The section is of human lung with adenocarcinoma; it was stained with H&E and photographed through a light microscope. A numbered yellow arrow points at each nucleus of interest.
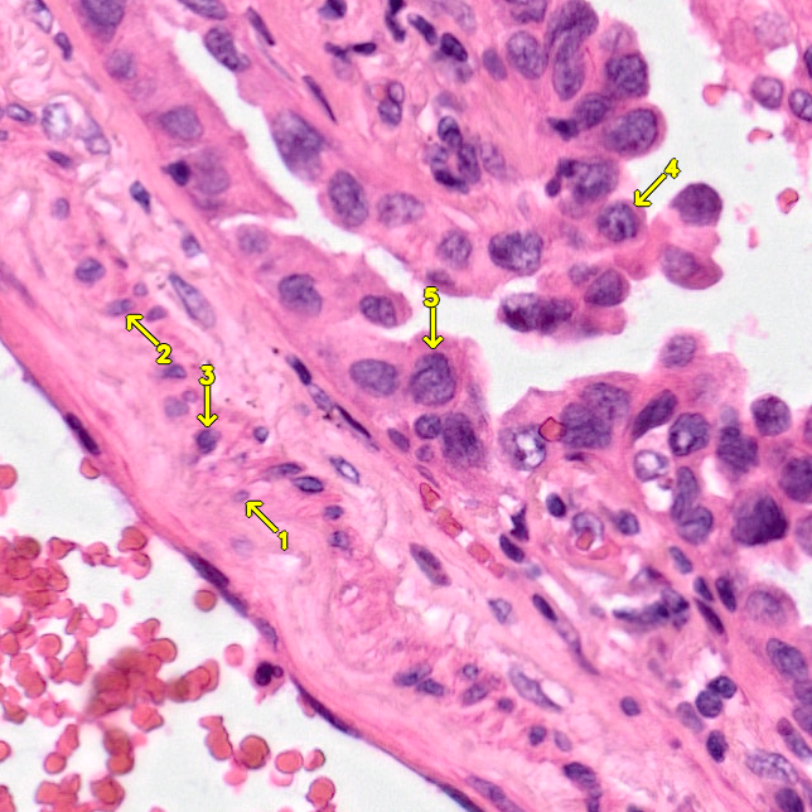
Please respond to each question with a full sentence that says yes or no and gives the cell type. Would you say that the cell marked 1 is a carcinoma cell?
No, the marker 1 sits on a smooth muscle cell or pericyte, not on a carcinoma cell.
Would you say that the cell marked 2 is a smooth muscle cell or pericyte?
Yes, number 2 in this section denotes a smooth muscle cell or pericyte.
